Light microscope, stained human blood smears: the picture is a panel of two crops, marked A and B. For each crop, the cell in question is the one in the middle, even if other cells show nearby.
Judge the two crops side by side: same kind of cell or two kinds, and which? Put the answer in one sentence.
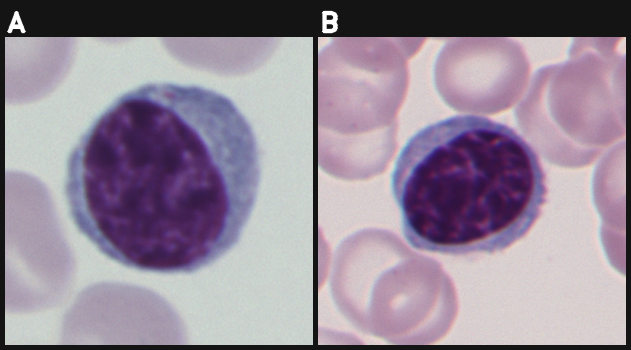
Yes, both crops show typical lymphocytes, the one and the other.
